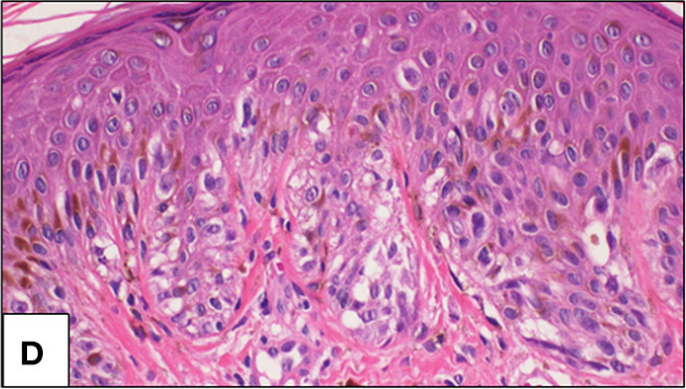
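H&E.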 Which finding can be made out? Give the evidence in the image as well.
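Pagetoid elements. Single cells with pale clear cytoplasm lie scattered above the basal layer within the epidermis. These cells are larger and paler than the surrounding keratinocytes.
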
